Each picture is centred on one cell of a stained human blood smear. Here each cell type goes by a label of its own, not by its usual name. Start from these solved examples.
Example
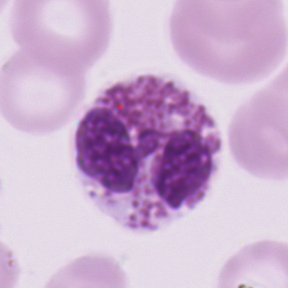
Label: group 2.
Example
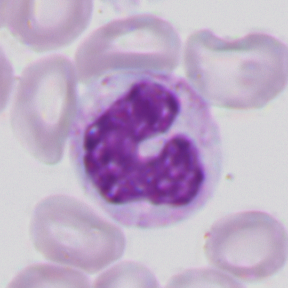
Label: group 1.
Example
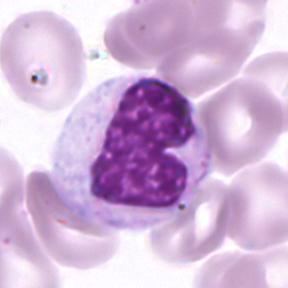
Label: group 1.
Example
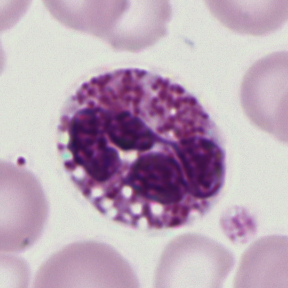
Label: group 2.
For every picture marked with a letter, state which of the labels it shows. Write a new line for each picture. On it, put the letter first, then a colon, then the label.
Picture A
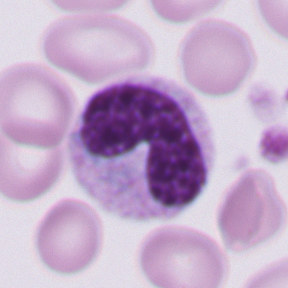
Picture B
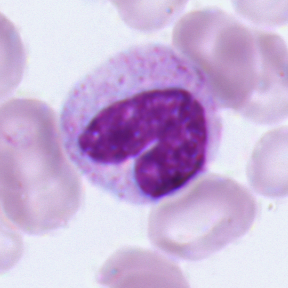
A: group 1.
B: group 1.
